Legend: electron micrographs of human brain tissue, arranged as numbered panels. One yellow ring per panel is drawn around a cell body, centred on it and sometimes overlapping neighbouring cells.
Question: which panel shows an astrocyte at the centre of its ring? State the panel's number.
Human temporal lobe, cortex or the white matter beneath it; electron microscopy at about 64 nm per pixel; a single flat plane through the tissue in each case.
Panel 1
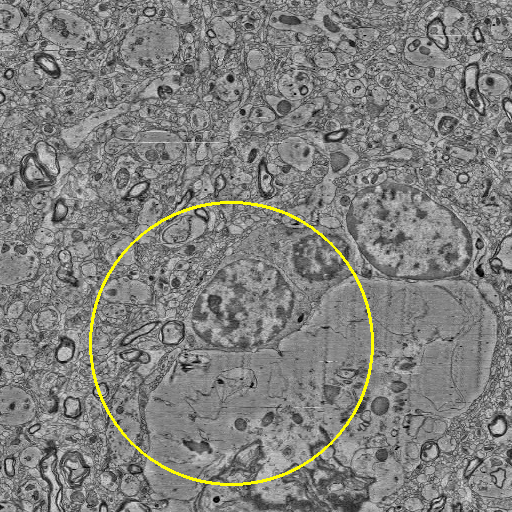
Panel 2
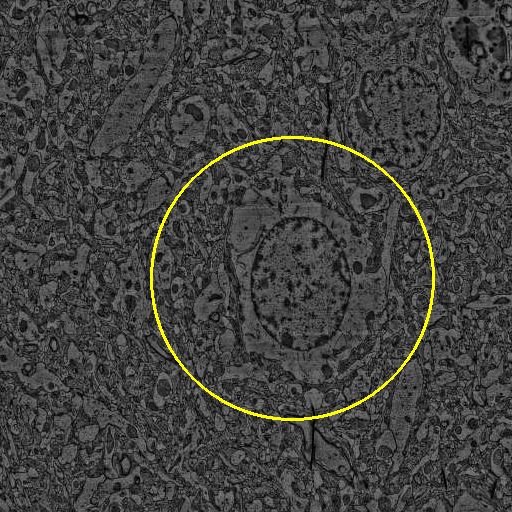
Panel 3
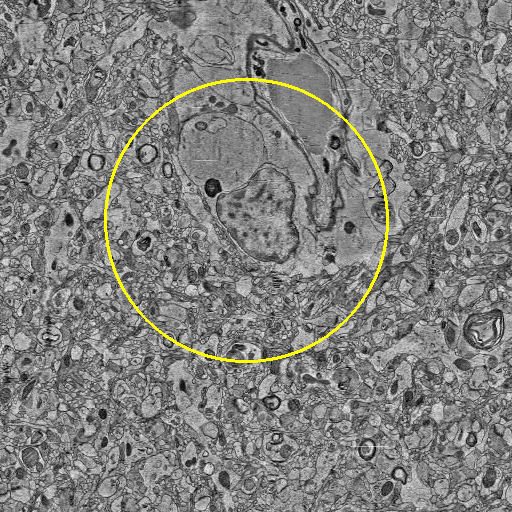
2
